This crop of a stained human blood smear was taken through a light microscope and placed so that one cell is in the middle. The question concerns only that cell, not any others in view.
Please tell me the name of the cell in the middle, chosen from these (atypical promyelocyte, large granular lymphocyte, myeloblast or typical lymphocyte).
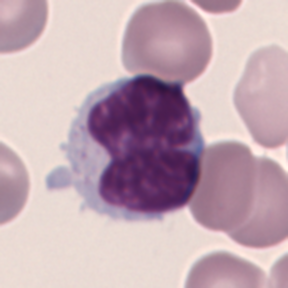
large granular lymphocyte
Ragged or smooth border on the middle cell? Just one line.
Seen at its edge, the cell is not smooth but ragged or projecting.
